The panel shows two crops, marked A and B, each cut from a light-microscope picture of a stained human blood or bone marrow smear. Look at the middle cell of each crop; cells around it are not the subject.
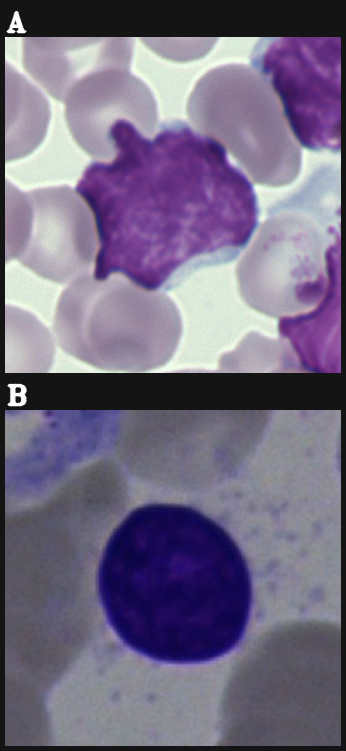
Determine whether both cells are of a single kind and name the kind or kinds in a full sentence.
Yes, lymphocytes occupy the centre of both crops.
